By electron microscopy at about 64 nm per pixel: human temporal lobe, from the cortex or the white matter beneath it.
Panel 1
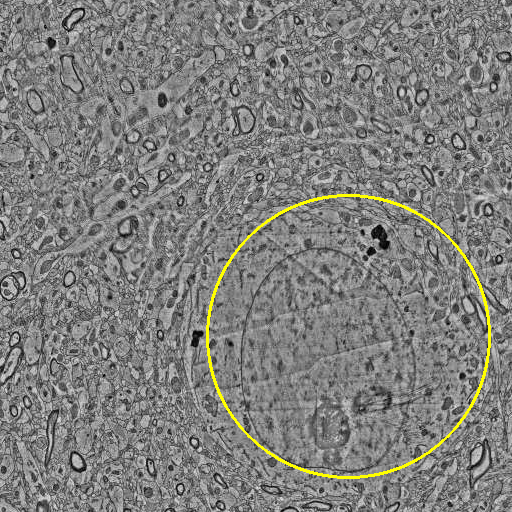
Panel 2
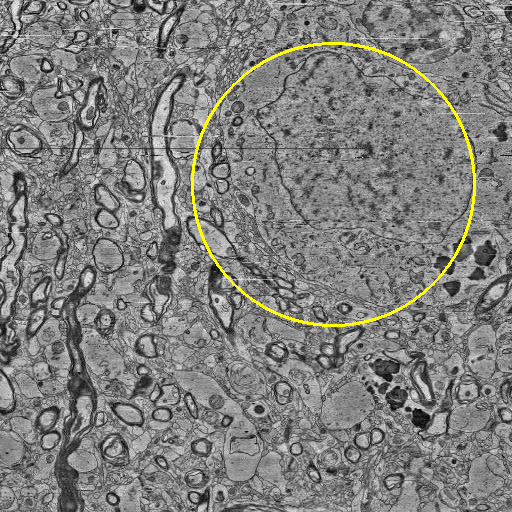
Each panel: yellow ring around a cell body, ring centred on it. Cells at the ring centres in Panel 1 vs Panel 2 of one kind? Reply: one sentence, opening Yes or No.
Yes, Panel 1 and Panel 2 have cells of one kind at the ring centres.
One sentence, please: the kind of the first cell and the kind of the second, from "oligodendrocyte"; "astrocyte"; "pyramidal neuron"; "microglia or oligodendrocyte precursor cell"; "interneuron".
In each picture the ringed cell is a pyramidal neuron.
